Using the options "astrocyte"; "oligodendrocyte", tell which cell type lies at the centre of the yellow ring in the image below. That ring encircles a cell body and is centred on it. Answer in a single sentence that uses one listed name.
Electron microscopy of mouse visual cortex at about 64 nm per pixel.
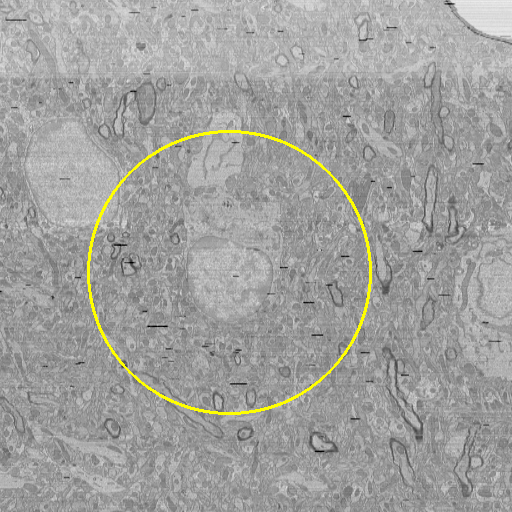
At the centre of the yellow ring lies the body of an oligodendrocyte.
